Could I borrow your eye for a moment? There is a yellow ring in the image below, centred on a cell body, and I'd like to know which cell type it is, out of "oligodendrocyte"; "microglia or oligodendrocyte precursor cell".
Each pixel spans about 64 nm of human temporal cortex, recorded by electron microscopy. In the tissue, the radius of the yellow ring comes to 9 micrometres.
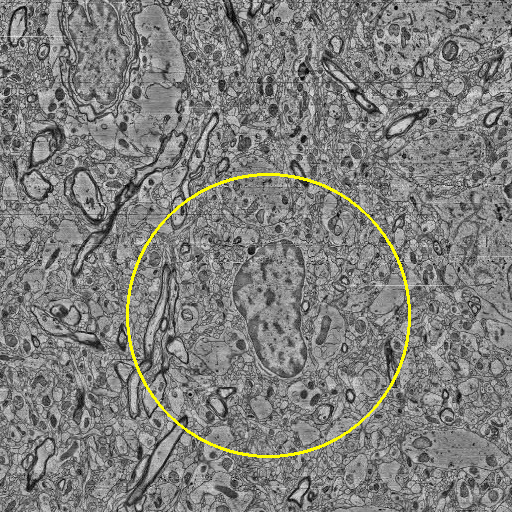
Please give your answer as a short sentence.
The cell body at the centre is that of a microglial cell or oligodendrocyte precursor cell.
